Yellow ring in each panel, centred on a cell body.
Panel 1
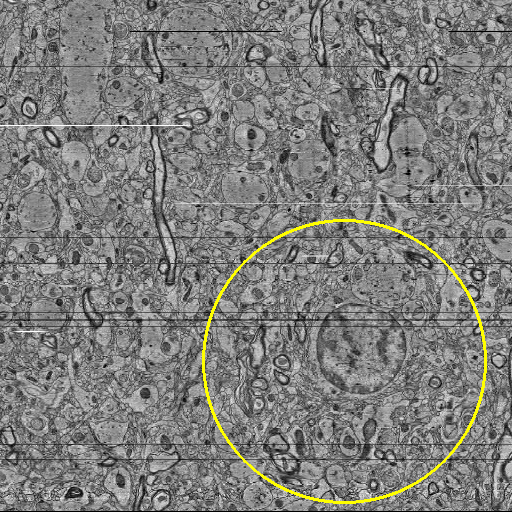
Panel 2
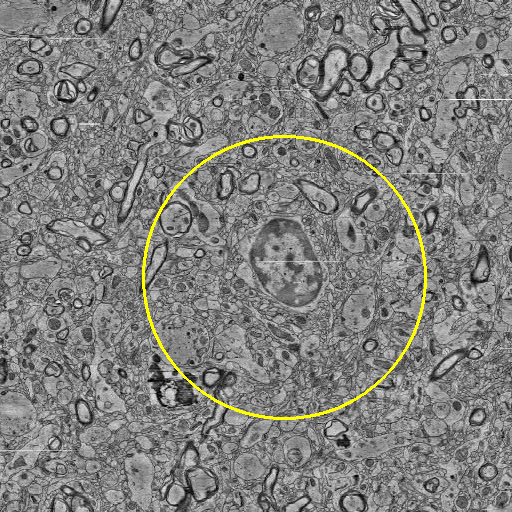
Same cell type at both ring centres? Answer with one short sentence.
No, the two cells are of two types.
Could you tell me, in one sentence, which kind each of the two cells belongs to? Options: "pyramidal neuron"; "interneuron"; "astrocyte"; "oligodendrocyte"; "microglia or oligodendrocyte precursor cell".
At the centre of the first ring sits an oligodendrocyte, and at the centre of the second sits a microglial cell or oligodendrocyte precursor cell.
